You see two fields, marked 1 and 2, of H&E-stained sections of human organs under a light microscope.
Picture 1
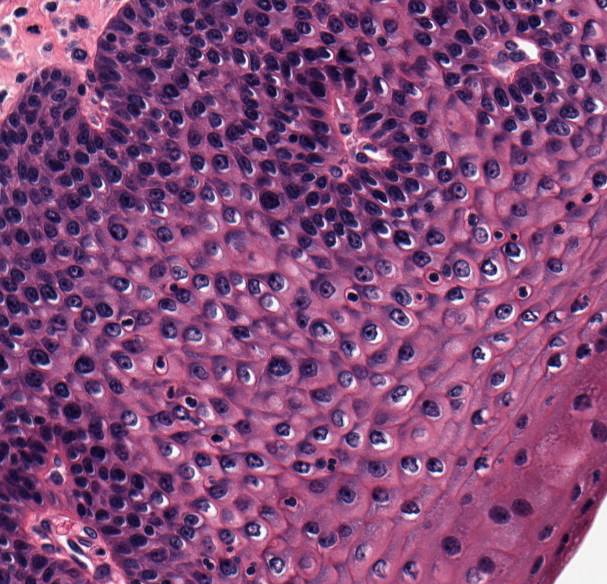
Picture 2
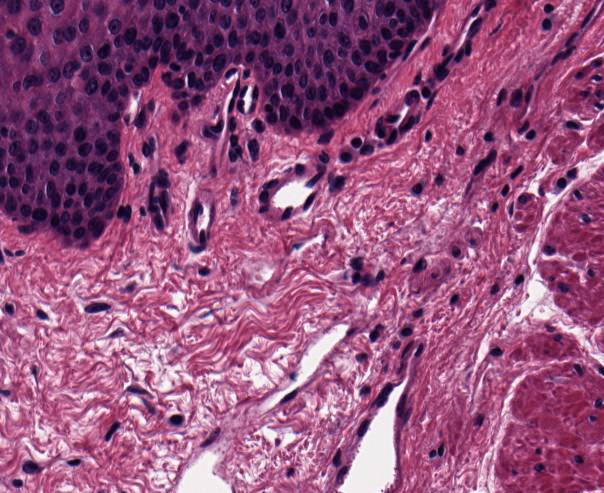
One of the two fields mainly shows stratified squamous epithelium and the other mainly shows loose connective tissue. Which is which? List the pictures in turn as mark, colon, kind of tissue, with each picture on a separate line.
1: stratified squamous epithelium
2: loose connective tissue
